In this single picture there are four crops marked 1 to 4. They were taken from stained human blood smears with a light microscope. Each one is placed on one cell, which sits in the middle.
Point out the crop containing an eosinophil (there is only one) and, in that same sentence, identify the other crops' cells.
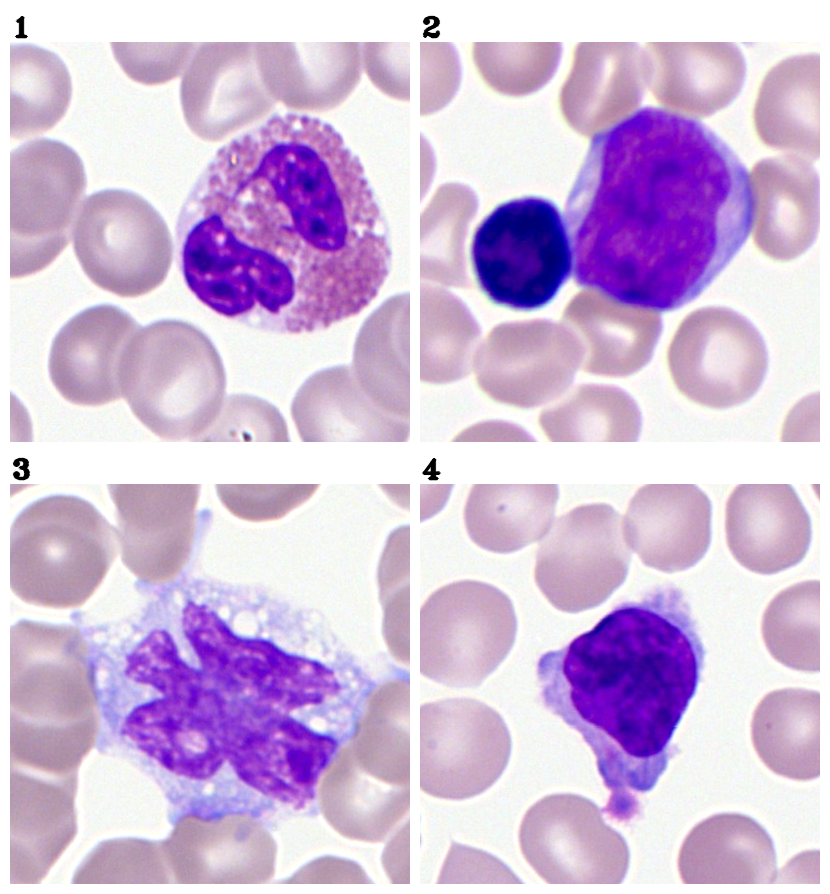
What crop 1 shows is an eosinophil, while crop 2 is a myeloblast, crop 3 is a monocyte and crop 4 is a lymphocyte.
